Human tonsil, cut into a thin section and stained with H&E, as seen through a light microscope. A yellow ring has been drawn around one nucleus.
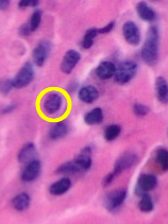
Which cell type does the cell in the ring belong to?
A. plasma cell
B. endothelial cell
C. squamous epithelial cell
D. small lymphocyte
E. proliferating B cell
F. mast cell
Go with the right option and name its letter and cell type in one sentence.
Option F gives the correct identity of the cell in the ring, which is a mast cell.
